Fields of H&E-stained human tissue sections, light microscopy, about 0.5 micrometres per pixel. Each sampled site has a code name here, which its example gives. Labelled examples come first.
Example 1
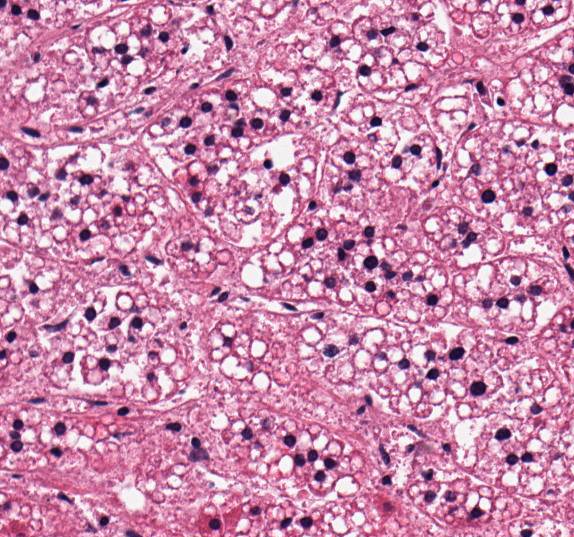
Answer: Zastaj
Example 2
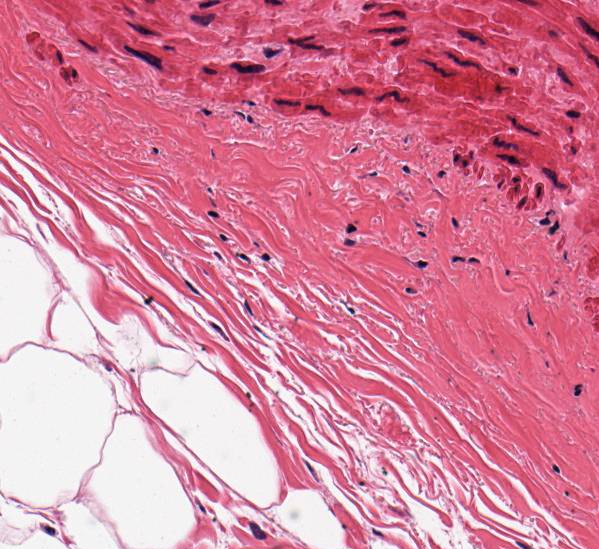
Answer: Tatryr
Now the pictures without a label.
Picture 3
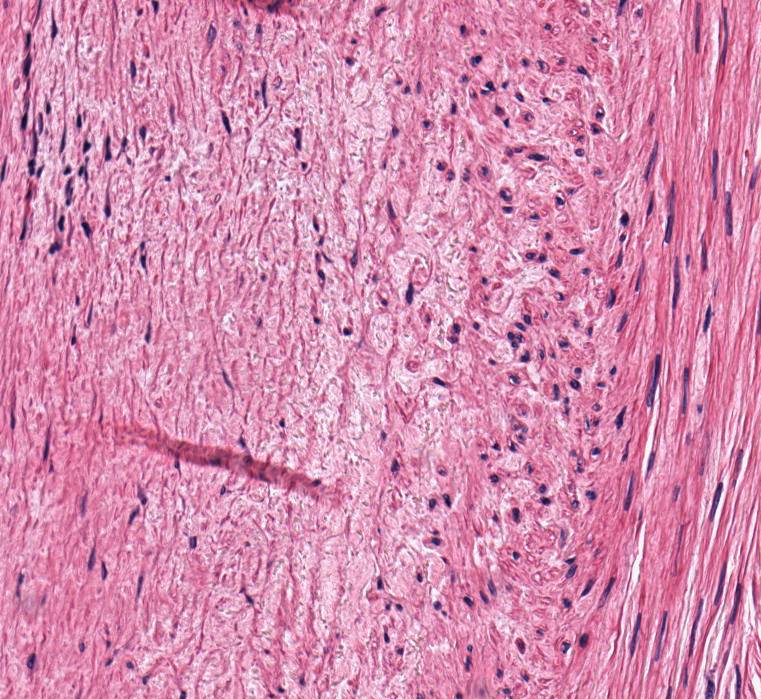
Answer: Tatryr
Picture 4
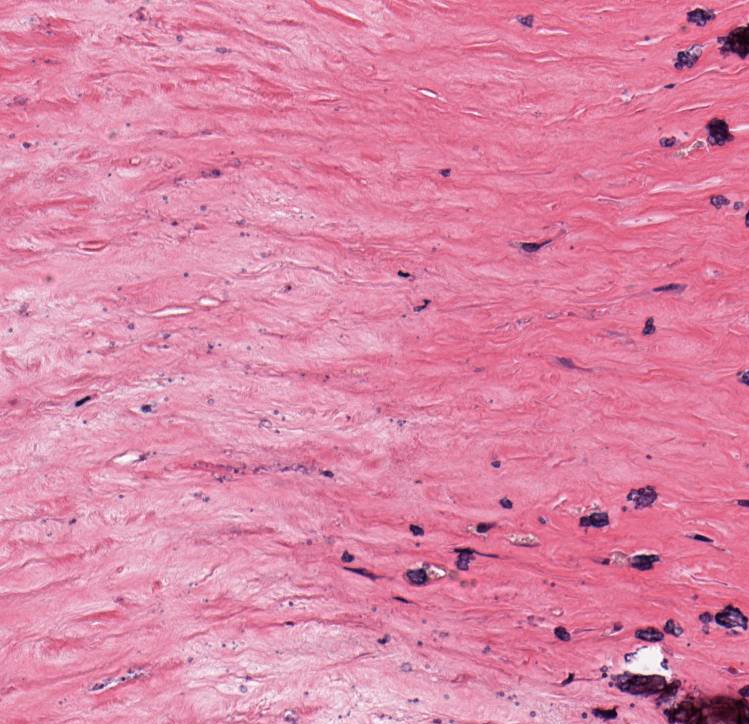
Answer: Tatryr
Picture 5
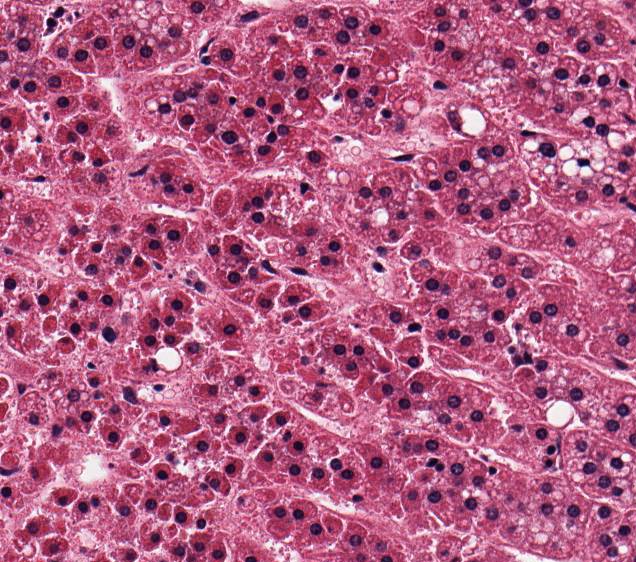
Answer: Zastaj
